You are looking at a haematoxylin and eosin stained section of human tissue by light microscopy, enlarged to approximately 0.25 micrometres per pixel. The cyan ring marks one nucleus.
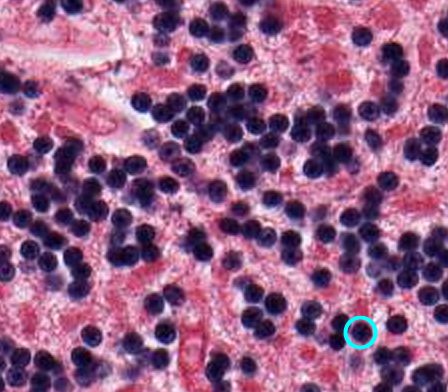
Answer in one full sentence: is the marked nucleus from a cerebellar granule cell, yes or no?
Yes, the marked nucleus, as shown, belongs to a cerebellar granule cell.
